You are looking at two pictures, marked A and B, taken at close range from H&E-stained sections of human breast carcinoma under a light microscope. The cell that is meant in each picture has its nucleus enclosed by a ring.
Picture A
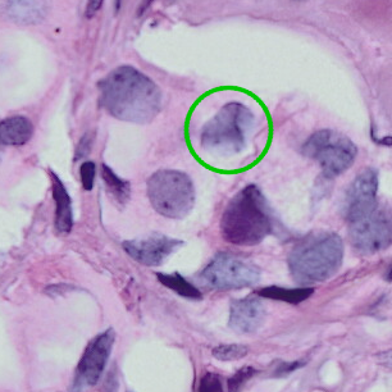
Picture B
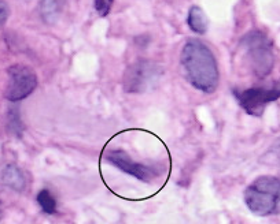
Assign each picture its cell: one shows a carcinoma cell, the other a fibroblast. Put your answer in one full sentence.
In picture A the cell is a carcinoma cell; in picture B, a fibroblast.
